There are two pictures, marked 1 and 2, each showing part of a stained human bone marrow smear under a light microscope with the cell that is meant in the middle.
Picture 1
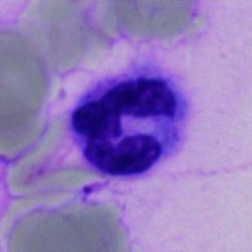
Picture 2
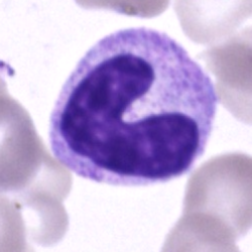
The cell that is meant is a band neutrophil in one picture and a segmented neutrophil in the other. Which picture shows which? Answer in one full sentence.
Picture 1 is of a segmented neutrophil, and picture 2 is of a band neutrophil.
